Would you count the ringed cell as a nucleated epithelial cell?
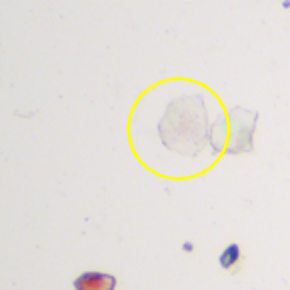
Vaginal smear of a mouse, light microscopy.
No, I would count it as a cornified epithelial cell.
